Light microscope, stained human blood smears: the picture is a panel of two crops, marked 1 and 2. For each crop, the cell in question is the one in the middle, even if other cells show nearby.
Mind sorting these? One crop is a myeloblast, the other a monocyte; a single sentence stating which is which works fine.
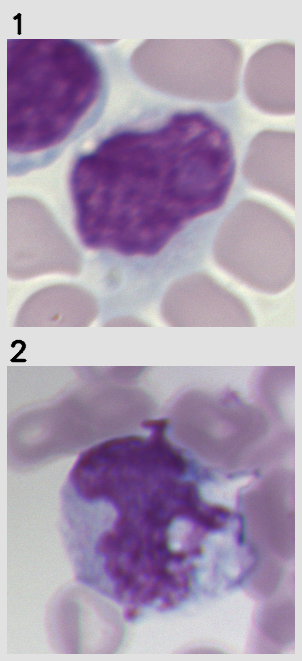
Crop 1 presents a myeloblast, and crop 2 presents a monocyte.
